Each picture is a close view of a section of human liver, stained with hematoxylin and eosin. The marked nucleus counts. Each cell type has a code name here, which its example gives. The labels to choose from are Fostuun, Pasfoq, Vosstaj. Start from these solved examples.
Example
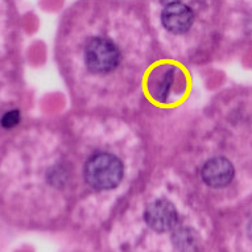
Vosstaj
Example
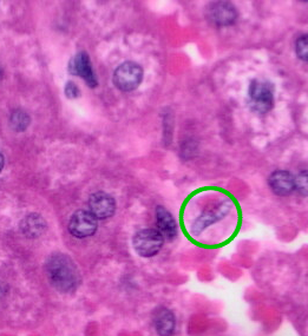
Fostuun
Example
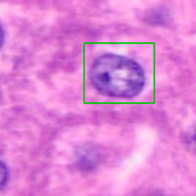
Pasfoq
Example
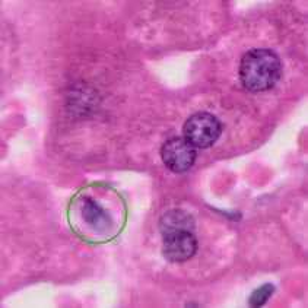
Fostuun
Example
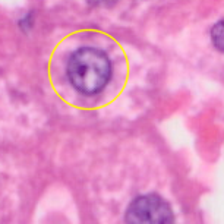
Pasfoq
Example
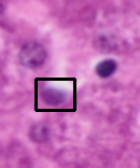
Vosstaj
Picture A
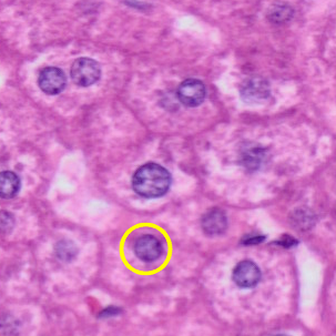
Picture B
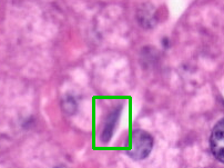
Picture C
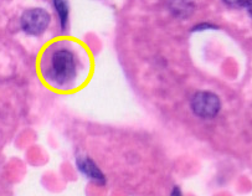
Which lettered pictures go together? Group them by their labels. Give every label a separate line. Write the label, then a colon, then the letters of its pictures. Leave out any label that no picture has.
Fostuun: B, C
Pasfoq: A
